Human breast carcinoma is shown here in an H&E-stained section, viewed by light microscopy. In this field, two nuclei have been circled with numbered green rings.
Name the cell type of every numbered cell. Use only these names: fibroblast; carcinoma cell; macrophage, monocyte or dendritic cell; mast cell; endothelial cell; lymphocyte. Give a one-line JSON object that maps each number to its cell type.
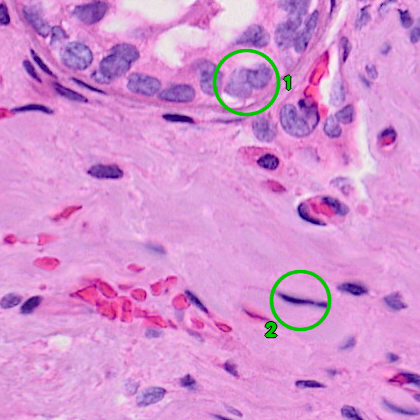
{"1": "carcinoma cell", "2": "fibroblast"}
